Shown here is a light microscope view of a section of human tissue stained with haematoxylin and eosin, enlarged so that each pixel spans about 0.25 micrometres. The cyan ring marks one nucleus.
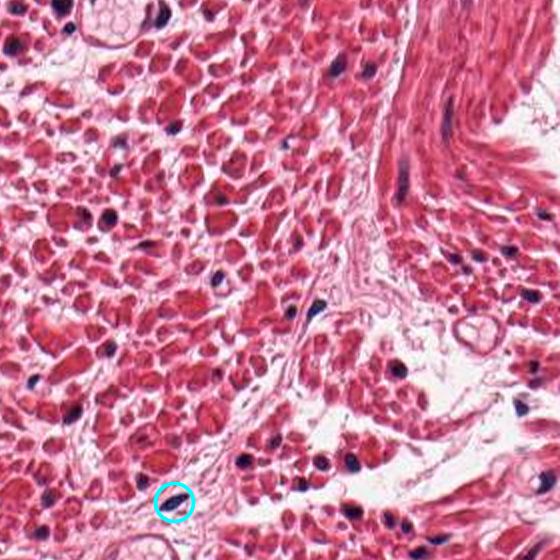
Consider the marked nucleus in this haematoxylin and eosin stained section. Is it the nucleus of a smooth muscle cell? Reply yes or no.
no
